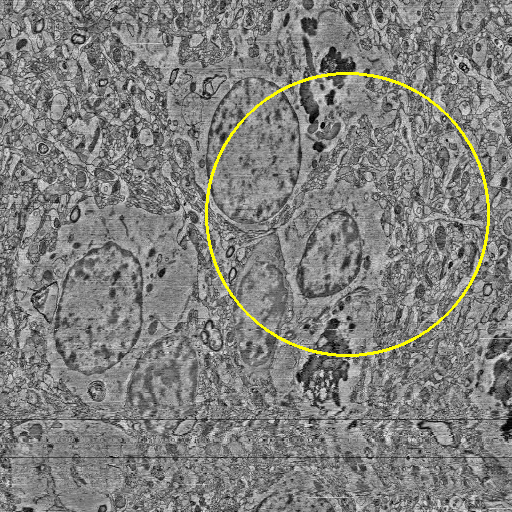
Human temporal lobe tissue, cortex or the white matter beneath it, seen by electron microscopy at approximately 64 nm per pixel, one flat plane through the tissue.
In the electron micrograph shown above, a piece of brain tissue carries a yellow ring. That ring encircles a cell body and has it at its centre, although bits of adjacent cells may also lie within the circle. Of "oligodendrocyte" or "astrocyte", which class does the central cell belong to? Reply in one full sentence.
The cell body at the centre of the yellow ring belongs to an astrocyte.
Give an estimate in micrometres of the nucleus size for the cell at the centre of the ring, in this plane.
In this plane the nucleus is clearly longer than it is wide, at approximately 6 by 4 micrometres.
